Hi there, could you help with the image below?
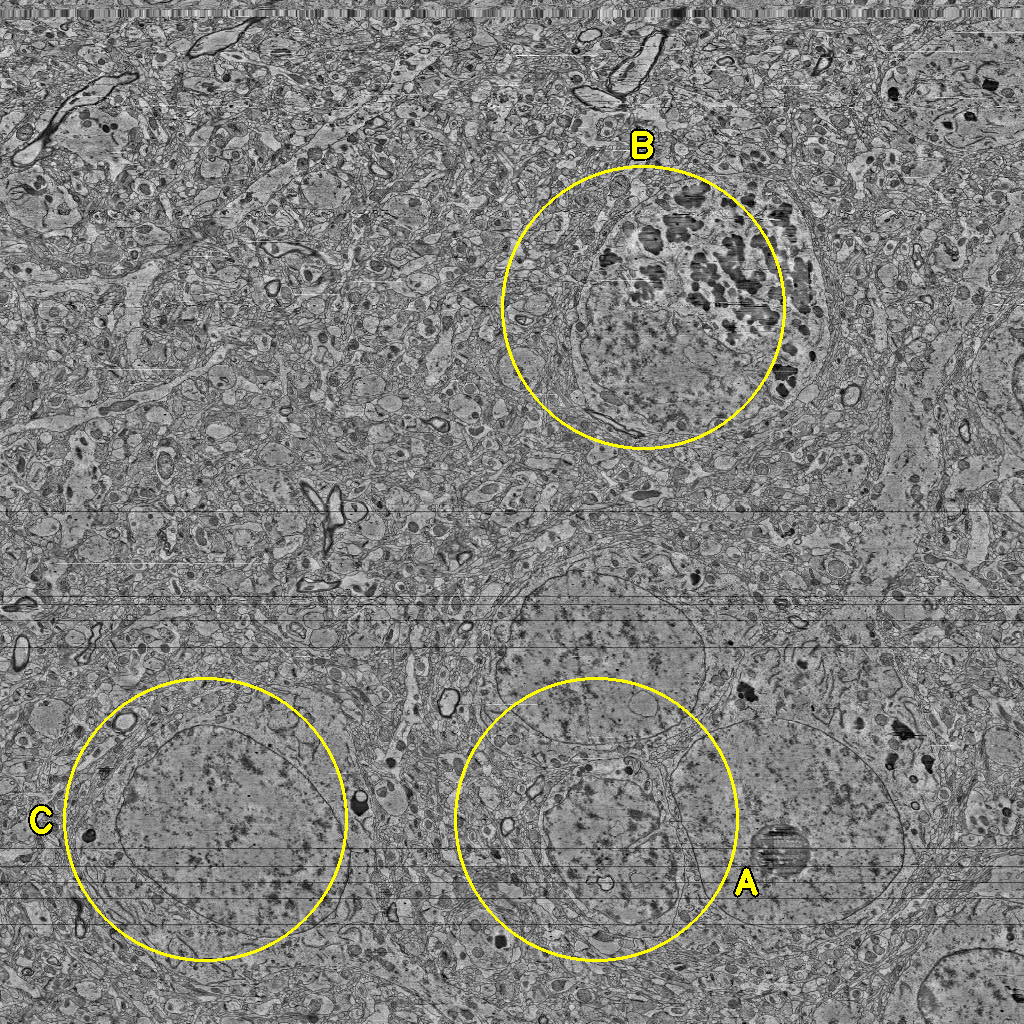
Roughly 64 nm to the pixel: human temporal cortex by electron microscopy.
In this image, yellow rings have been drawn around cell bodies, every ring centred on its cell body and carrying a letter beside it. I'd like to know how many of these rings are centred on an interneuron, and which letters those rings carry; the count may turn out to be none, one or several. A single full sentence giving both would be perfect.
The micrograph contains two rings each centred on an interneuron, lettered A and B.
